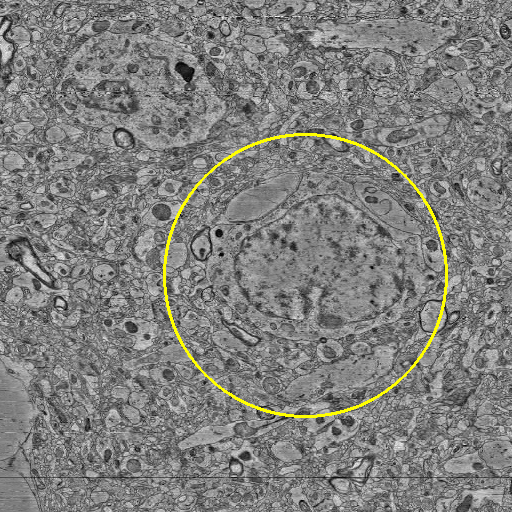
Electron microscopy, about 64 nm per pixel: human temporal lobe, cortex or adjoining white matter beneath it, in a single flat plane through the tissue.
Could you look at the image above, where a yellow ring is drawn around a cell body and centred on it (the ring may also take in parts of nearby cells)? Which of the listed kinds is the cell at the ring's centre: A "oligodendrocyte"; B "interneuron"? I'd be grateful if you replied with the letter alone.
B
